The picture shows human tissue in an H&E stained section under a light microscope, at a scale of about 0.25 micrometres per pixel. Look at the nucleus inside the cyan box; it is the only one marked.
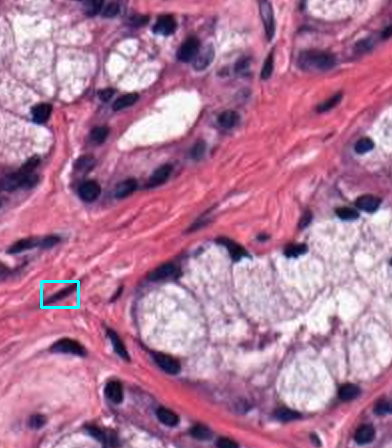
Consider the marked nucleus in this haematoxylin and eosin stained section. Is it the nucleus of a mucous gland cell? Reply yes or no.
no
